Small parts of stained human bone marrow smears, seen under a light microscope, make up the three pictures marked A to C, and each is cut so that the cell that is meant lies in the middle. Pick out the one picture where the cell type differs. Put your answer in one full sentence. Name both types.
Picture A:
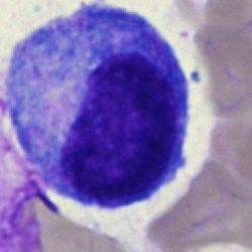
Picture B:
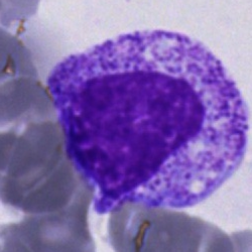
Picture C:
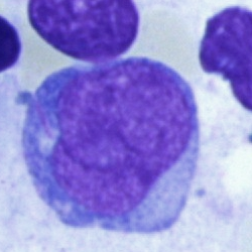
Picture C is the odd one out: it shows a blast, while the others show promyelocytes.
